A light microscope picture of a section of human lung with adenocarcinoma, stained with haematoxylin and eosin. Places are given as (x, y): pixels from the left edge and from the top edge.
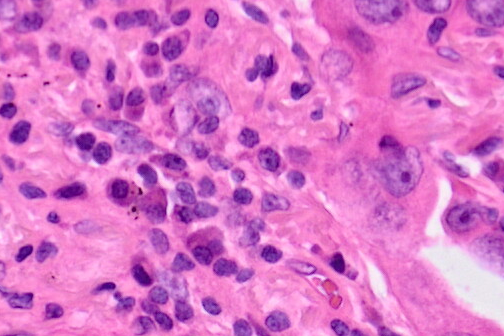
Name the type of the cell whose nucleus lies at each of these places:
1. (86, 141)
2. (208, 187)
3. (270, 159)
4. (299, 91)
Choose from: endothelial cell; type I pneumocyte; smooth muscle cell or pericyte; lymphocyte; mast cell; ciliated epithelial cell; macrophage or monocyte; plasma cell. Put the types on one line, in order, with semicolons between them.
lymphocyte; lymphocyte; plasma cell; lymphocyte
